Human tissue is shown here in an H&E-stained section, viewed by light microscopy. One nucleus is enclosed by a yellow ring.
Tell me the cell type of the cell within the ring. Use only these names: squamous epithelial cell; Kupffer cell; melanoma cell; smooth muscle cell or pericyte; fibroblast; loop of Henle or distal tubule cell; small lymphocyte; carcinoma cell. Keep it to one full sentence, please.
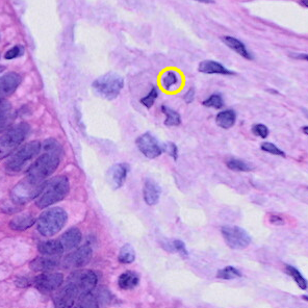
In the tissue under study, the cell within the ring is a fibroblast.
